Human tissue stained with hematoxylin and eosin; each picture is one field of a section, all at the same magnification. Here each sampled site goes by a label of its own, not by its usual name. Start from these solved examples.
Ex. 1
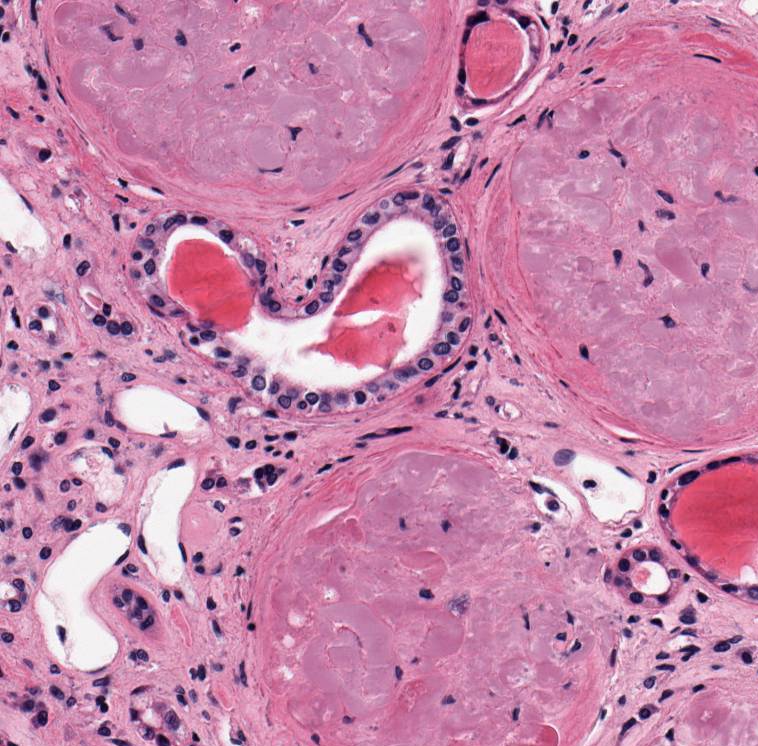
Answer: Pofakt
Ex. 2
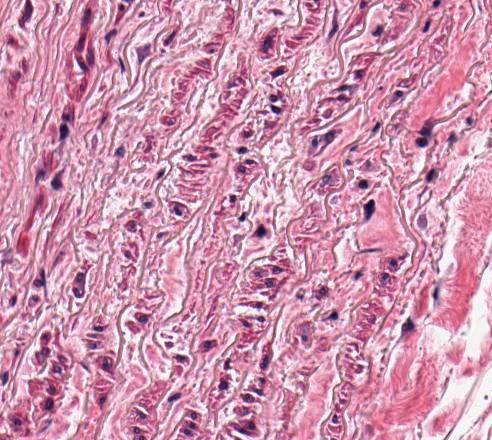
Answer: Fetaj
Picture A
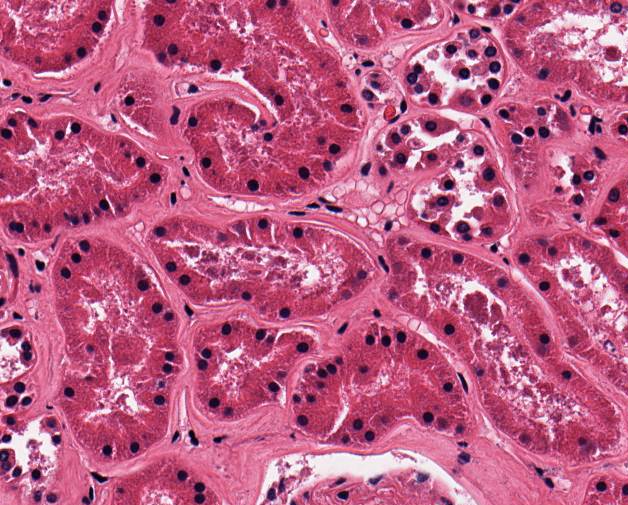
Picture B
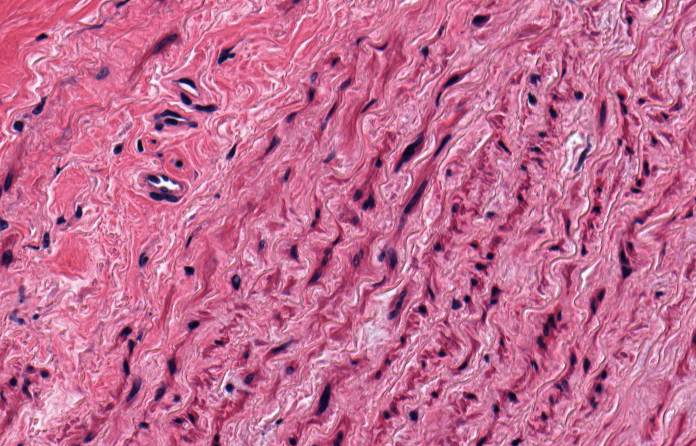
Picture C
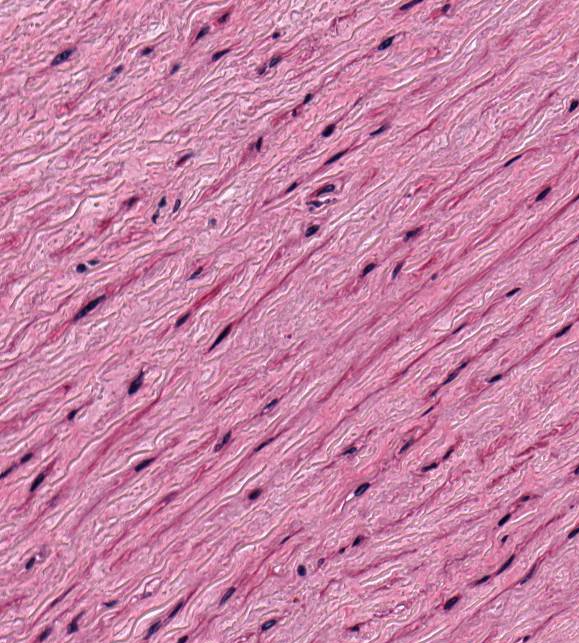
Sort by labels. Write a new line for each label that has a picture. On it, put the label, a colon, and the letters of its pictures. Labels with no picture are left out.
Pofakt: A
Fetaj: B, C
